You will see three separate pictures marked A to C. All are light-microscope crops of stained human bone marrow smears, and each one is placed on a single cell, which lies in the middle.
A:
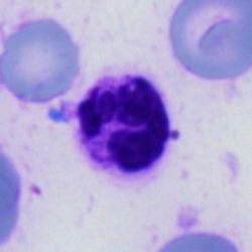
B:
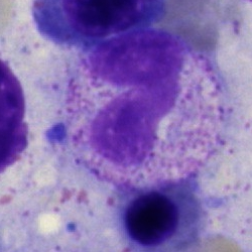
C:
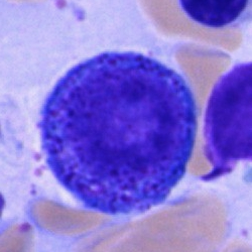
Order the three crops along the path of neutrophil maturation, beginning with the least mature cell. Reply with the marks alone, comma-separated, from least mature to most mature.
C, B, A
